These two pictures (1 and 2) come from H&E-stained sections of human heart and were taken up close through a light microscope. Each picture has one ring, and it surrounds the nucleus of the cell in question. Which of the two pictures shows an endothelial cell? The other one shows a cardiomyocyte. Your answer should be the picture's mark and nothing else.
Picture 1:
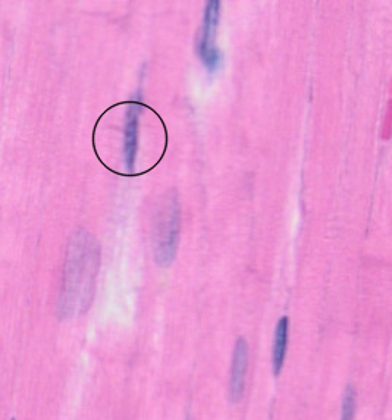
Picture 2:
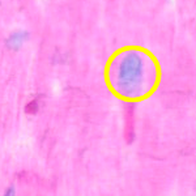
1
